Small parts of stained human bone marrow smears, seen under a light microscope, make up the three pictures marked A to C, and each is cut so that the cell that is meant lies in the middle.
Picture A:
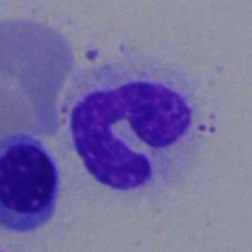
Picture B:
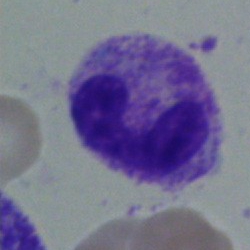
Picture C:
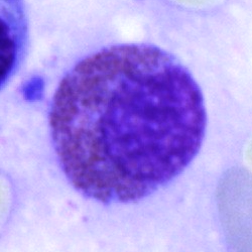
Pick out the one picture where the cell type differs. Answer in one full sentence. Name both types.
Unlike the rest, which show band neutrophils, picture C shows an eosinophil.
